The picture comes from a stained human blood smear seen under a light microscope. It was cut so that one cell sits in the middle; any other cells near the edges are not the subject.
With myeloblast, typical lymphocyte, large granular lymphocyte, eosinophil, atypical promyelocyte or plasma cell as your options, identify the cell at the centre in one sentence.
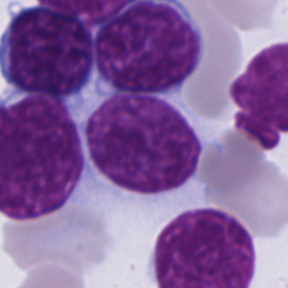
In the middle of this smear crop, the cell is a myeloblast.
